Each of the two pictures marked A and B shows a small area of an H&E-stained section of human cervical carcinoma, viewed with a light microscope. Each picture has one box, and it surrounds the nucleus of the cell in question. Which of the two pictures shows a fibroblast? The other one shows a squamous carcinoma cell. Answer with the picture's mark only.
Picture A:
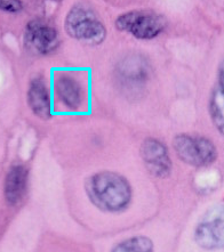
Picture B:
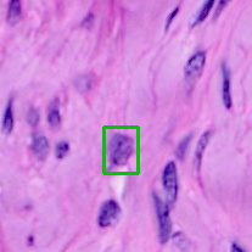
B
